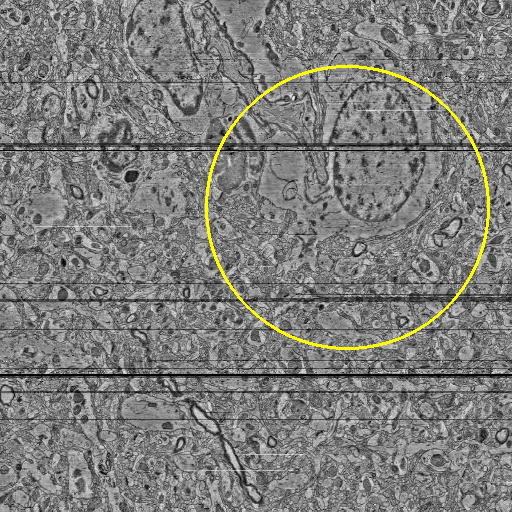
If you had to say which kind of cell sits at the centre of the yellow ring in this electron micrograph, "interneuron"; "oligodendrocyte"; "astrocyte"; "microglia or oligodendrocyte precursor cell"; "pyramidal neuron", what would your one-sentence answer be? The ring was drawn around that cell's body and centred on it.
The cell sitting at the centre of the ring is an astrocyte.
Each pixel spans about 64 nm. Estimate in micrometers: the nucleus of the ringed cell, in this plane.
In this plane, the nucleus of the cell at the centre of the ring is about 6 micrometres across.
